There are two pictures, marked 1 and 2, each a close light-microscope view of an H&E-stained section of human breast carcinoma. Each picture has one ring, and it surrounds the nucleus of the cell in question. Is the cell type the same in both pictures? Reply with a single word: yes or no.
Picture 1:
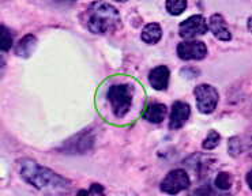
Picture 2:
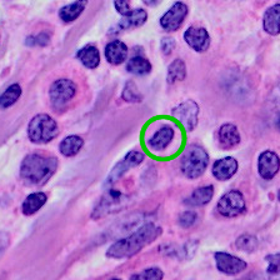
yes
